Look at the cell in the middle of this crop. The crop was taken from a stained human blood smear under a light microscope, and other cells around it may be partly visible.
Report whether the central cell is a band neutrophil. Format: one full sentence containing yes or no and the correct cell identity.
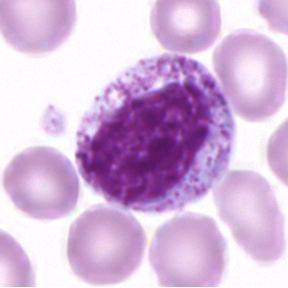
No, the central cell is reported as a metamyelocyte rather than as a band neutrophil.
